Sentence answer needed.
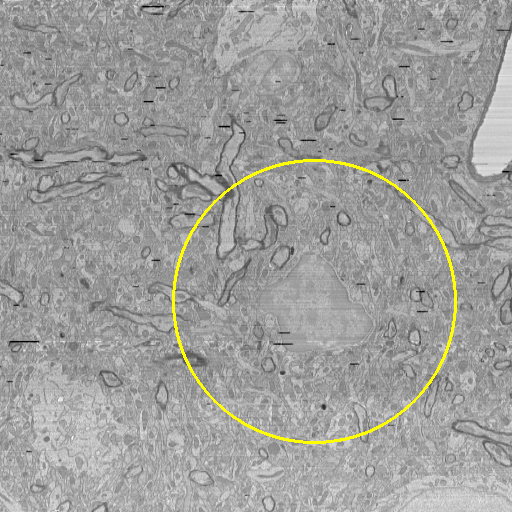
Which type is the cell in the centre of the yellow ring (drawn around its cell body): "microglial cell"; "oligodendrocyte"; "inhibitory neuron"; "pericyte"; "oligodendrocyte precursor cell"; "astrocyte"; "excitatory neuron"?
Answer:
In the centre of the yellow ring is a microglial cell.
